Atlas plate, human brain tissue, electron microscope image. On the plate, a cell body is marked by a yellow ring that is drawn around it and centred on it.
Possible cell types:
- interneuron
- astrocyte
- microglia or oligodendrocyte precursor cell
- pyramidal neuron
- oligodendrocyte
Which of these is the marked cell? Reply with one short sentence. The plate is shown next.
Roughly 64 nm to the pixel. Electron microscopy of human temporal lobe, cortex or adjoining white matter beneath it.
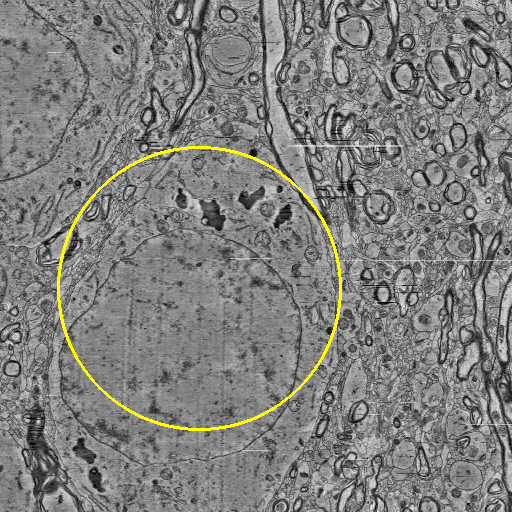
The marked cell is a pyramidal neuron.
